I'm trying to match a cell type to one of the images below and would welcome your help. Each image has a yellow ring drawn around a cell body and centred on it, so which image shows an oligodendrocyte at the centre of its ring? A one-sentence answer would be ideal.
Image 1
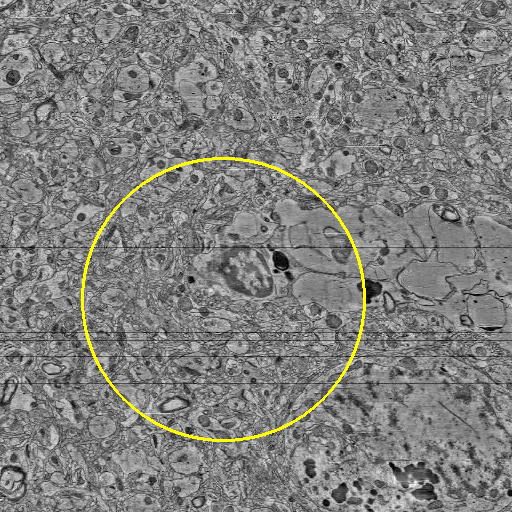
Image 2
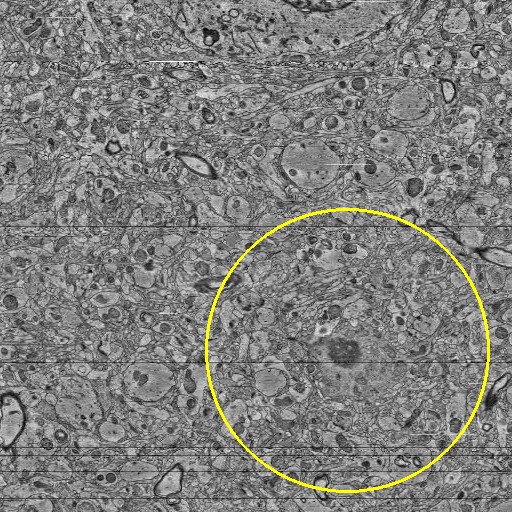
Image 2 shows it at the centre of the ring.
